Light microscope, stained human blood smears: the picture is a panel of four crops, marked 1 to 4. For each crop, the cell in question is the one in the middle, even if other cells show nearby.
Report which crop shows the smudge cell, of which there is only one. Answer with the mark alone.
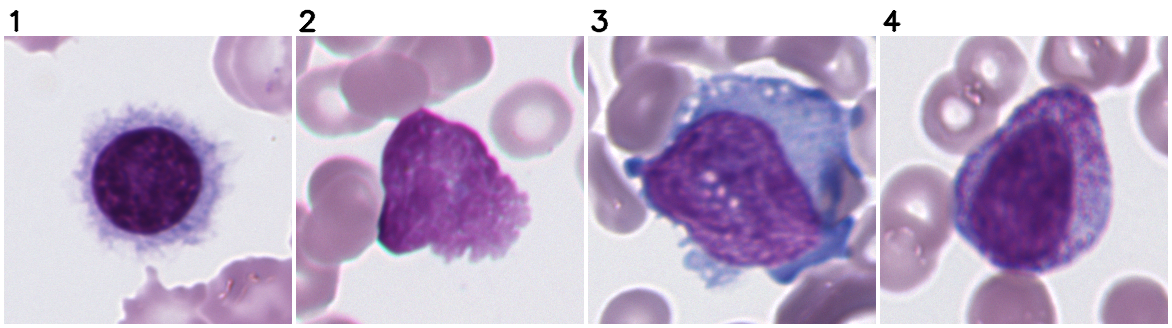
2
